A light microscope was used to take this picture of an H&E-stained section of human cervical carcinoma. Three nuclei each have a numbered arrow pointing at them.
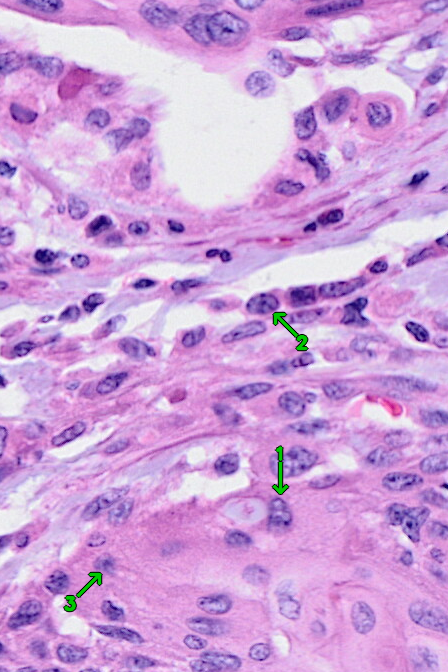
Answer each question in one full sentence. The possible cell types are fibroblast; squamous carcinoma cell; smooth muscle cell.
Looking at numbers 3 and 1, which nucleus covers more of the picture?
Number 1 is larger; its area is about 2.5 times that of number 3.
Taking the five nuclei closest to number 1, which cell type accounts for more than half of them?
Squamous carcinoma cells make up most of the five nuclei closest to number 1.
